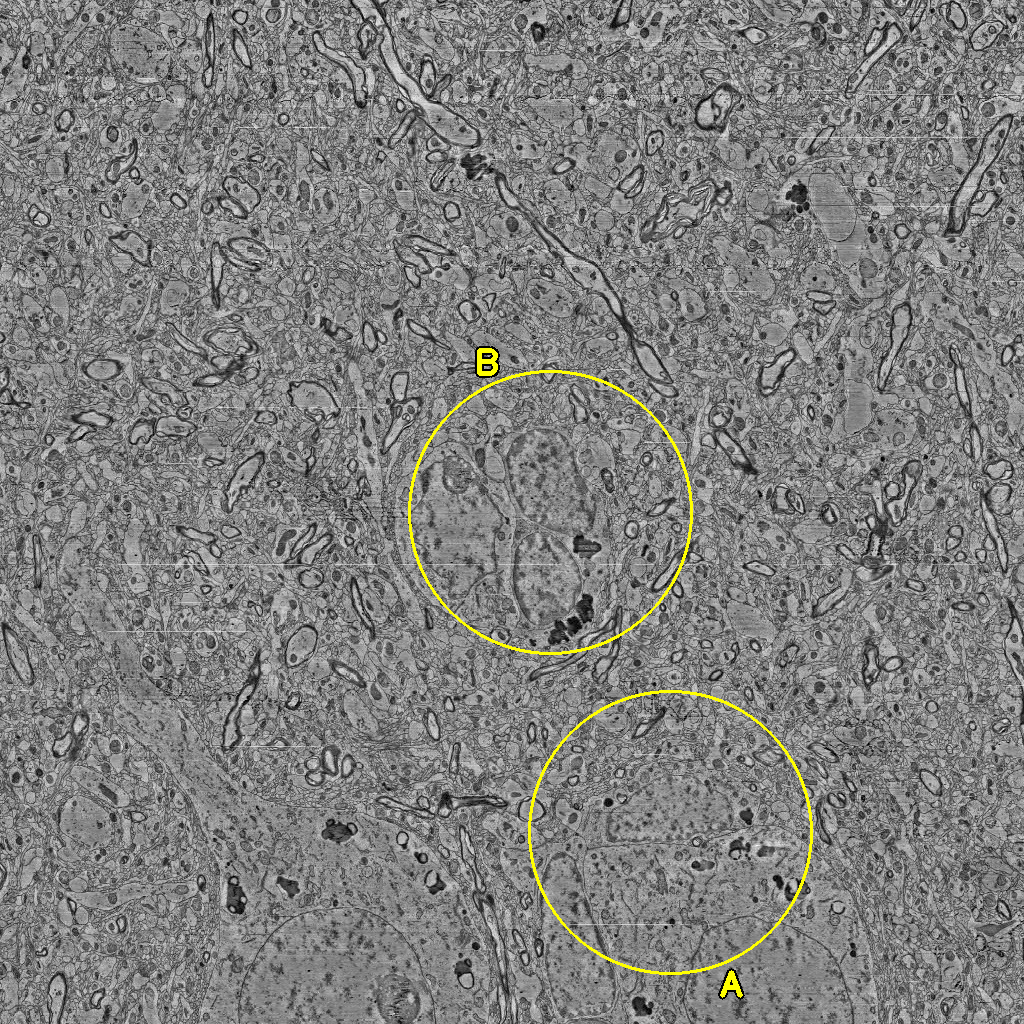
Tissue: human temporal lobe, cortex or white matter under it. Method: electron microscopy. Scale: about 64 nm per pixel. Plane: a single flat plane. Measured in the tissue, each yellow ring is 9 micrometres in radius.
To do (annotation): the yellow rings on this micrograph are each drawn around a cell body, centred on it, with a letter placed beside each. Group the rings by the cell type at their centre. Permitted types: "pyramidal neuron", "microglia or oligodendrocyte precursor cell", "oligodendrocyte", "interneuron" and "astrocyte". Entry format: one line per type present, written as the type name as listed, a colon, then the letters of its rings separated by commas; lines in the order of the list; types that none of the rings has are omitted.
oligodendrocyte: B
interneuron: A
